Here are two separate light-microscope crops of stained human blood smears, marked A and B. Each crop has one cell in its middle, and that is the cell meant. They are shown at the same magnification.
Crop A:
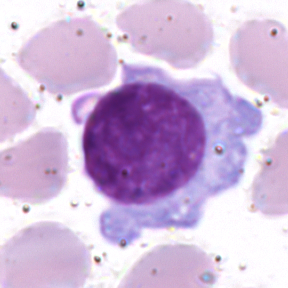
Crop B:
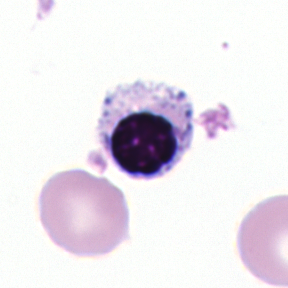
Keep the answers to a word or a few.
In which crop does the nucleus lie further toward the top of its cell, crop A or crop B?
A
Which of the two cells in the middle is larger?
A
